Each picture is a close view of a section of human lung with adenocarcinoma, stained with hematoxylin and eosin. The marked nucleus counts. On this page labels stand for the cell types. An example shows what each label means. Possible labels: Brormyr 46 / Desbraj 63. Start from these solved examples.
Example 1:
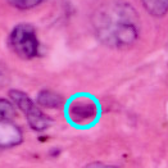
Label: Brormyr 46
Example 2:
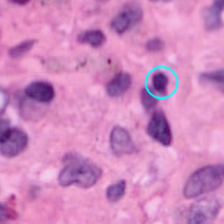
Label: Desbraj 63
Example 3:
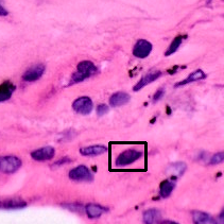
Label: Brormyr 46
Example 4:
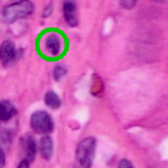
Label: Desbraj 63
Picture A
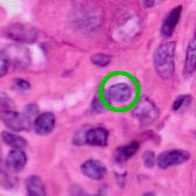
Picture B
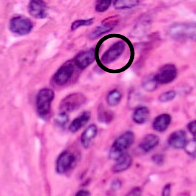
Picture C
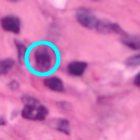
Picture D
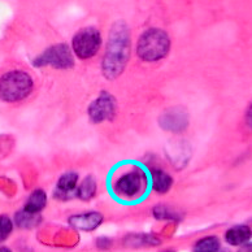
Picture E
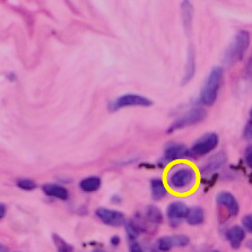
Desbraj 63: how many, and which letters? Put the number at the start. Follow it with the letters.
Count: 3 (A, D, E)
